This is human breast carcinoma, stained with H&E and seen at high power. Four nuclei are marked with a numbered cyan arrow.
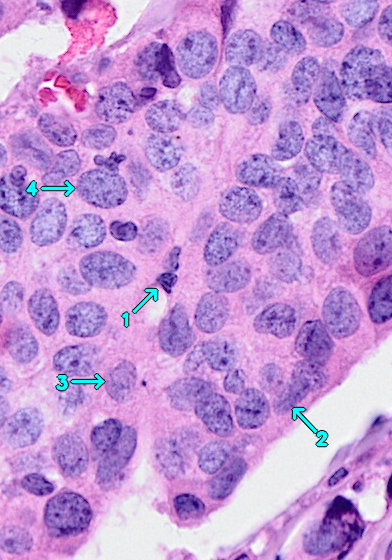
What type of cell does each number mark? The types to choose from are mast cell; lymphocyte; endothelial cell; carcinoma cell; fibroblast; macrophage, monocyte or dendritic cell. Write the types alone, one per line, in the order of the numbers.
lymphocyte
carcinoma cell
carcinoma cell
carcinoma cell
